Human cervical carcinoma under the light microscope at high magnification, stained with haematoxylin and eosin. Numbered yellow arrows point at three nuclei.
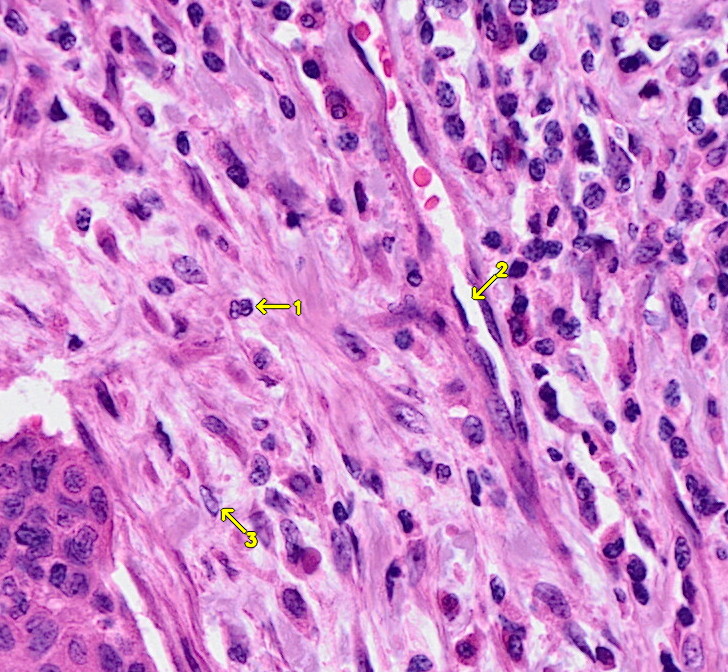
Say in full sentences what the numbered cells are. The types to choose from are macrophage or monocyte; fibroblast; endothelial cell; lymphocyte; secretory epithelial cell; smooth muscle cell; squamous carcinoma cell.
Cell 1 is a lymphocyte. Cell 2 is an endothelial cell. Cell 3 is a fibroblast.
